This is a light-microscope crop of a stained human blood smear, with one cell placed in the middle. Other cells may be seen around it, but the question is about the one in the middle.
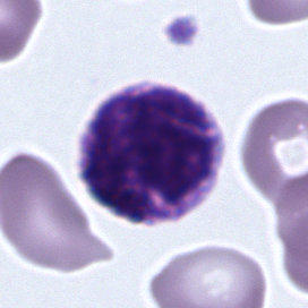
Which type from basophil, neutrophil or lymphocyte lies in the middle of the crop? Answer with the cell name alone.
basophil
